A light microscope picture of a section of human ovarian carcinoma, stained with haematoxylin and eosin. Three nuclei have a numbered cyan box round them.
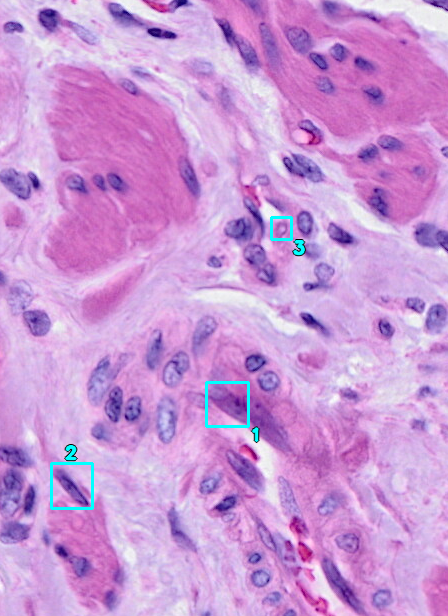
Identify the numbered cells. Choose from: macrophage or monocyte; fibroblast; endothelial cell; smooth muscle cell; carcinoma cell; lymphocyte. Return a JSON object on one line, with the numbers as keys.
{"1": "endothelial cell", "2": "smooth muscle cell", "3": "endothelial cell"}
